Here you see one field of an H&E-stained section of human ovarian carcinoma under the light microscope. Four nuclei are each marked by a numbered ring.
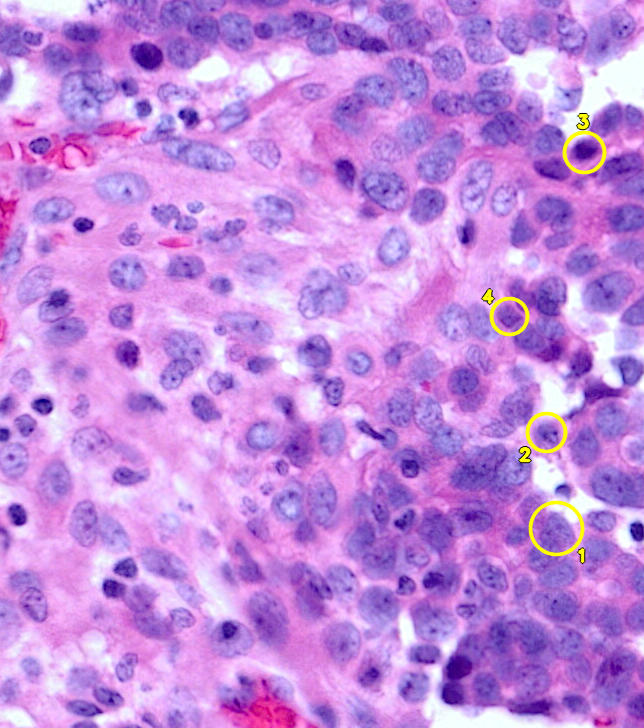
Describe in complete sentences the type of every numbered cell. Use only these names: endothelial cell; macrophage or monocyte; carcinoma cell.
Cells 1, 3 and 4 are carcinoma cells. Cell 2 is a macrophage or monocyte.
